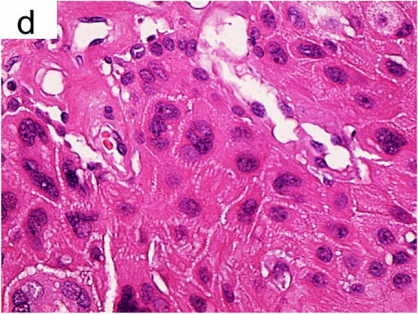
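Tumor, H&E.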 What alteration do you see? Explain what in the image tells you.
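Nuclei differ markedly in size and shape. On this evidence: nuclear pleomorphism.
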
